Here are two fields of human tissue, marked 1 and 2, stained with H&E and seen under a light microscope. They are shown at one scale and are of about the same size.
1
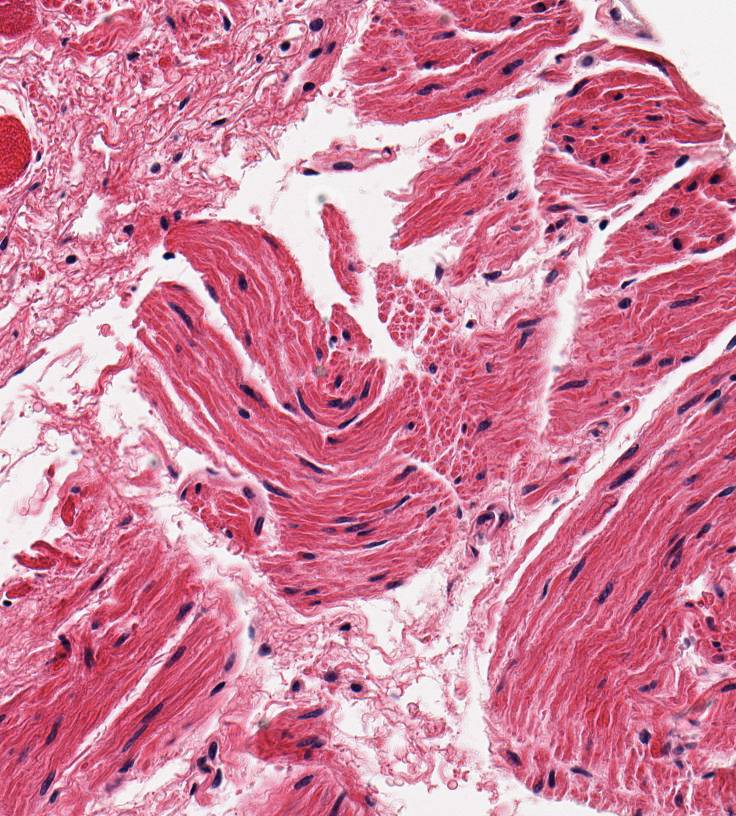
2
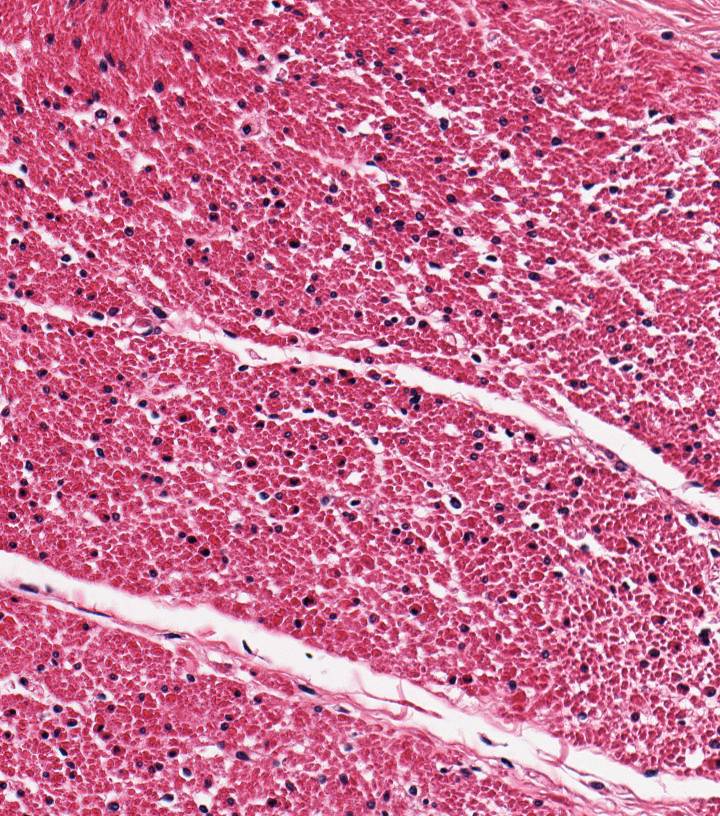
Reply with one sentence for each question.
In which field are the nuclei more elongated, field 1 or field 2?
Longer, more slender nuclei lie in field 1.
